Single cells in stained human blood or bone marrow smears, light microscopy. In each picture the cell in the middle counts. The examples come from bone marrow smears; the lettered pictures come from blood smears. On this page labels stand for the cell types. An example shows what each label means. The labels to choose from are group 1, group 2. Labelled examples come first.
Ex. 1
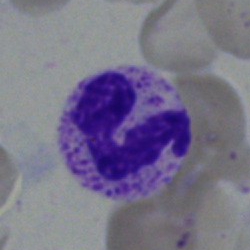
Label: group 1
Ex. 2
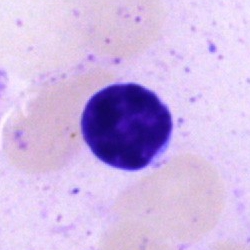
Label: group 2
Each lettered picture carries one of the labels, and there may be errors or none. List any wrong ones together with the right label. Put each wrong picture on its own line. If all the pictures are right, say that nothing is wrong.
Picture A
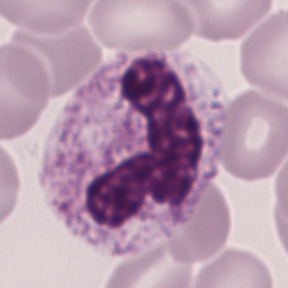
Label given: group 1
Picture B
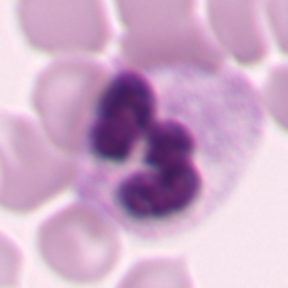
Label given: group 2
B is labelled group 2; correct label: group 1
